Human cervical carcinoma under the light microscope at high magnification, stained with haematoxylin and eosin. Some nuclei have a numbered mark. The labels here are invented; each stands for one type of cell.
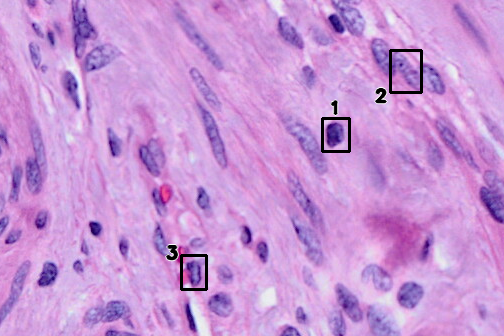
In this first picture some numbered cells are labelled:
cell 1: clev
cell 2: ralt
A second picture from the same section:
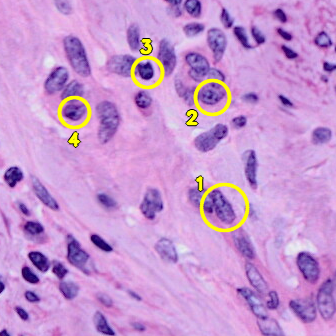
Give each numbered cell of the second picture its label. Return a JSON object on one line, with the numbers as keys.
{"1": "ralt", "2": "ralt", "3": "clev", "4": "ralt"}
